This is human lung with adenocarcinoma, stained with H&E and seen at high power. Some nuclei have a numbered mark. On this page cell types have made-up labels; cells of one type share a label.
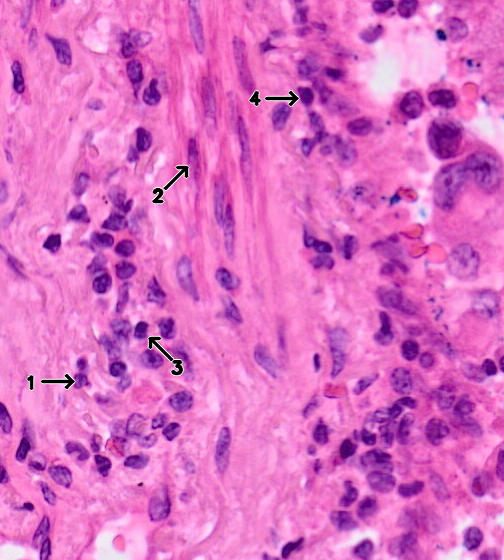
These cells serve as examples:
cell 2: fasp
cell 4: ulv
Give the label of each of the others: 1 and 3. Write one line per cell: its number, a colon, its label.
1: ulv
3: ulv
